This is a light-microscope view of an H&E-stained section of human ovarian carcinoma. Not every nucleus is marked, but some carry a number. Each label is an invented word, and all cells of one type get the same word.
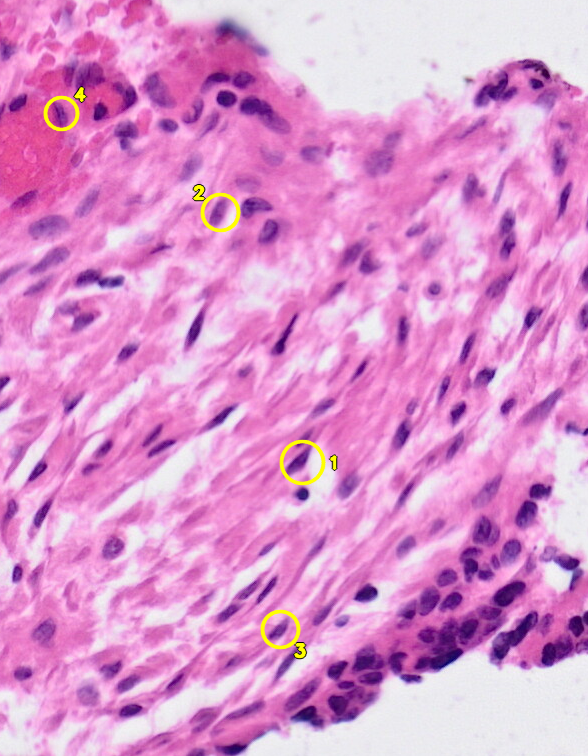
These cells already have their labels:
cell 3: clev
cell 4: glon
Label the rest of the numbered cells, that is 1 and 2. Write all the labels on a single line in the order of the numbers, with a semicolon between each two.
clev; clev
